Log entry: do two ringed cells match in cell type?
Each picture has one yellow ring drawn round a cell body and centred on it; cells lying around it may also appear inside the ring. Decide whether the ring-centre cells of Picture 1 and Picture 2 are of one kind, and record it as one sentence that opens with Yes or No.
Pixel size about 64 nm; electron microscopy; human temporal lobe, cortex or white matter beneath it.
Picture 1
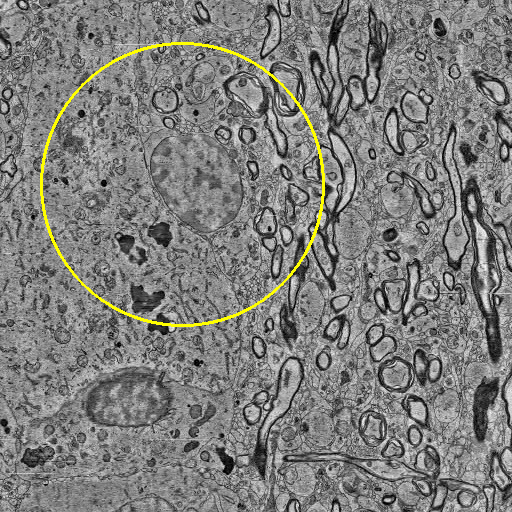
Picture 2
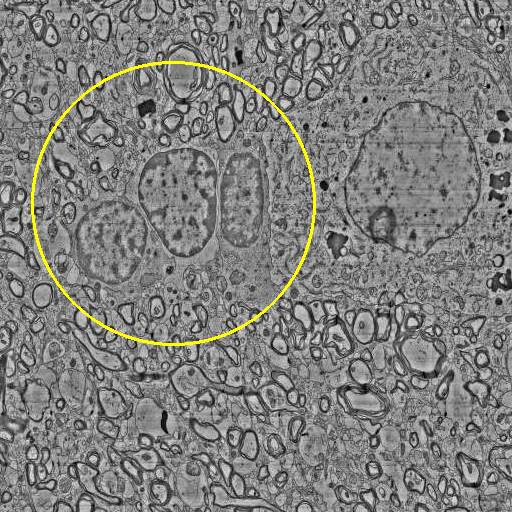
Yes, the cells at the ring centres of the two pictures belong to one kind.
